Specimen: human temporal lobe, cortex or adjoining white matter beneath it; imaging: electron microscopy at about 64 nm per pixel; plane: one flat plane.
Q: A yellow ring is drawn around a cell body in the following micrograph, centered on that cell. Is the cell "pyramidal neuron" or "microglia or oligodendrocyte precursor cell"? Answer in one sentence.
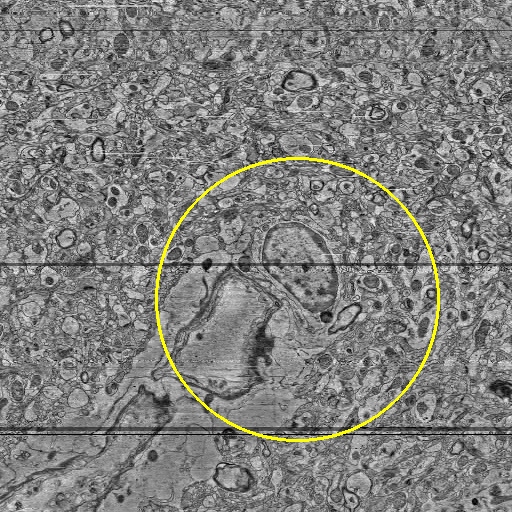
The cell in the center of the ring is a microglial cell or oligodendrocyte precursor cell.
